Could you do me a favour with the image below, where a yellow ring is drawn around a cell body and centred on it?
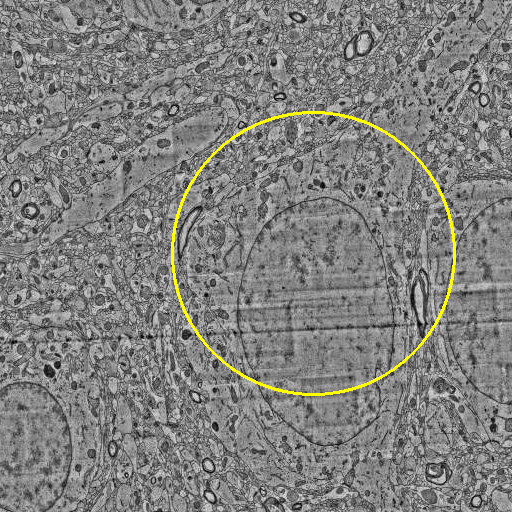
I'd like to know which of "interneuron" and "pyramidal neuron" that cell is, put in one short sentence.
The cell at the ring's centre is a pyramidal neuron.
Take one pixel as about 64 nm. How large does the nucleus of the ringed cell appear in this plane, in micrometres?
Roughly 16 by 10 micrometers, clearly longer than it is wide in this plane.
